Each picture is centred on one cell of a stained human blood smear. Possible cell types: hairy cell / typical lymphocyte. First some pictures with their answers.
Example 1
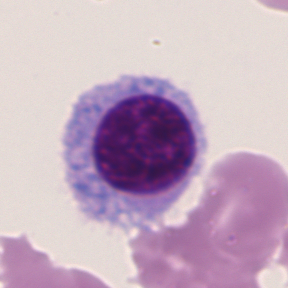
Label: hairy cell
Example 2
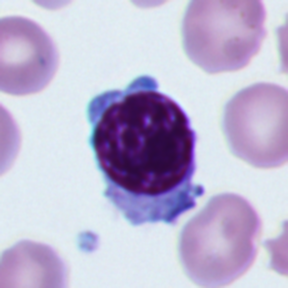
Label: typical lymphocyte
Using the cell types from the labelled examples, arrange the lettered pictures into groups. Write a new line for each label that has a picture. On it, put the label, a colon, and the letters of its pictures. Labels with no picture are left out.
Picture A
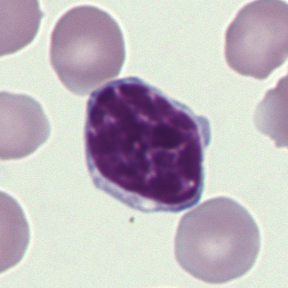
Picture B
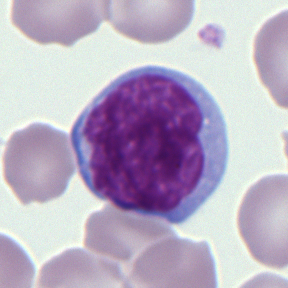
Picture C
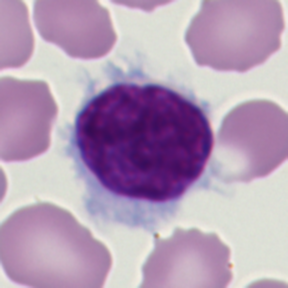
hairy cell: C
typical lymphocyte: A, B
